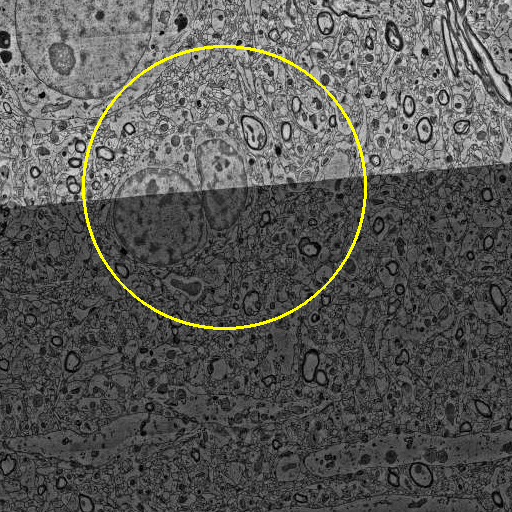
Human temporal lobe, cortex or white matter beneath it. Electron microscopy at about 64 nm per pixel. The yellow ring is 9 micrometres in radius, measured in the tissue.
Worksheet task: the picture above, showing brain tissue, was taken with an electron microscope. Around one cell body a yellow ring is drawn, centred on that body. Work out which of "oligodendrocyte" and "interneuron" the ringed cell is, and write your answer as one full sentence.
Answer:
It is an oligodendrocyte whose cell body lies at the centre of the yellow ring.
